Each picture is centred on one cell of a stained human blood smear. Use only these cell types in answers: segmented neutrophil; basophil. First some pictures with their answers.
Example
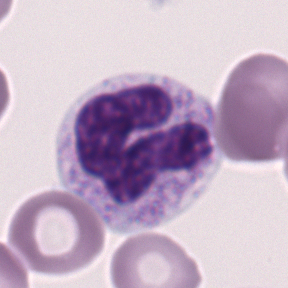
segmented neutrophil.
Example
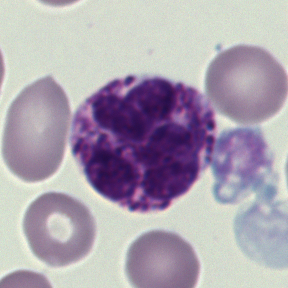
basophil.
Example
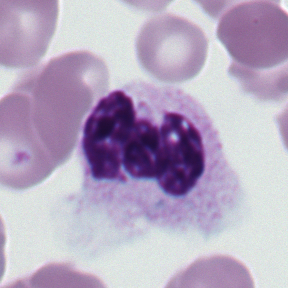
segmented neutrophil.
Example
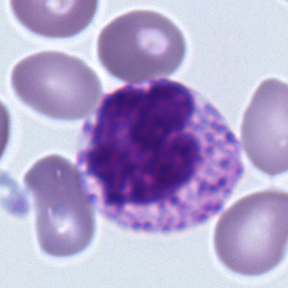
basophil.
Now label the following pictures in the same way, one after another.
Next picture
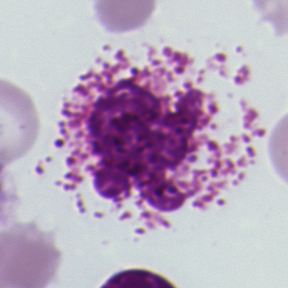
basophil.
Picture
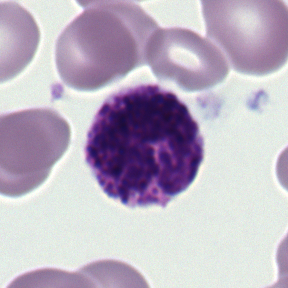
basophil.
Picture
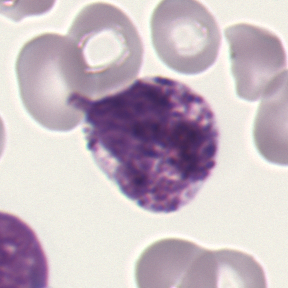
basophil.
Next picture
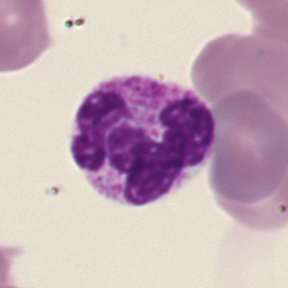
segmented neutrophil.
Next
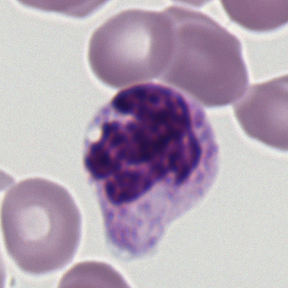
segmented neutrophil.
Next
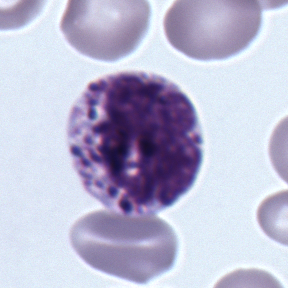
basophil.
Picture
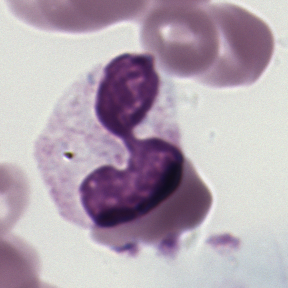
segmented neutrophil.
